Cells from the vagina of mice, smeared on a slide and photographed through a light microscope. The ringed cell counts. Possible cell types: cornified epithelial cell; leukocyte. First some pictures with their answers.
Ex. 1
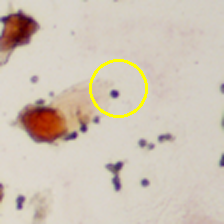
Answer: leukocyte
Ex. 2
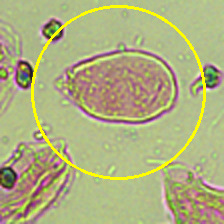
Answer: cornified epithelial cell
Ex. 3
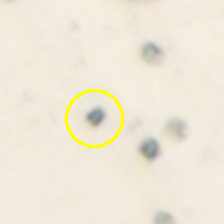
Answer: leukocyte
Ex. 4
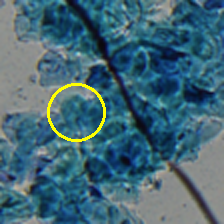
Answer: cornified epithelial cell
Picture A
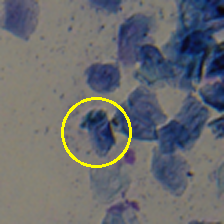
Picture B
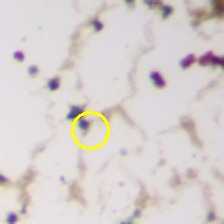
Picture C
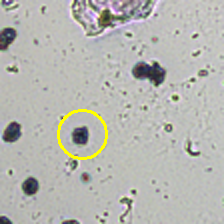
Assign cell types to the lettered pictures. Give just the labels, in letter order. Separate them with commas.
cornified epithelial cell, leukocyte, leukocyte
